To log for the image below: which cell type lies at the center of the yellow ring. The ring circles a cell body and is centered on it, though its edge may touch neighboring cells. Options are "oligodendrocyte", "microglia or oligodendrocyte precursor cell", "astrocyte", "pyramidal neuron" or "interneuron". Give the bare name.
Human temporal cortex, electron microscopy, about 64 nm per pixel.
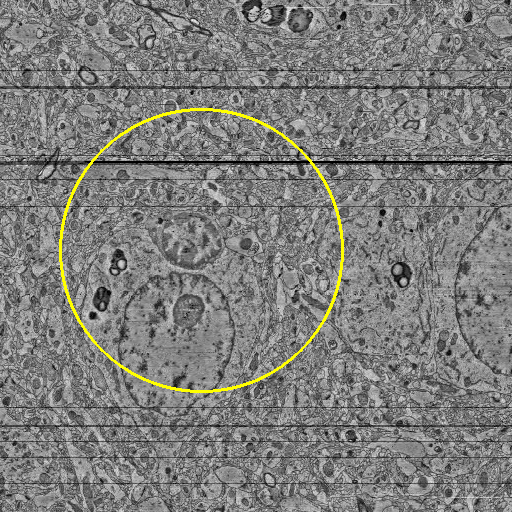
oligodendrocyte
